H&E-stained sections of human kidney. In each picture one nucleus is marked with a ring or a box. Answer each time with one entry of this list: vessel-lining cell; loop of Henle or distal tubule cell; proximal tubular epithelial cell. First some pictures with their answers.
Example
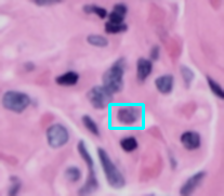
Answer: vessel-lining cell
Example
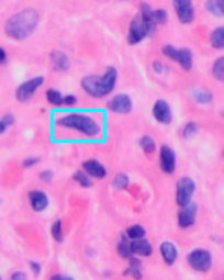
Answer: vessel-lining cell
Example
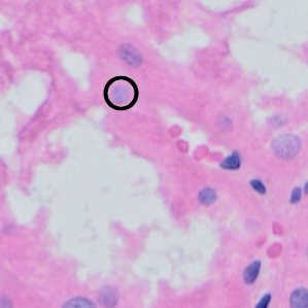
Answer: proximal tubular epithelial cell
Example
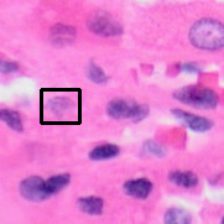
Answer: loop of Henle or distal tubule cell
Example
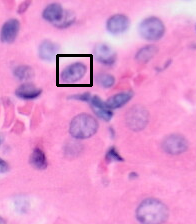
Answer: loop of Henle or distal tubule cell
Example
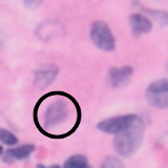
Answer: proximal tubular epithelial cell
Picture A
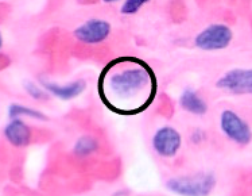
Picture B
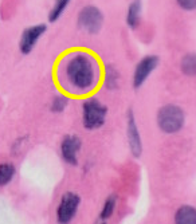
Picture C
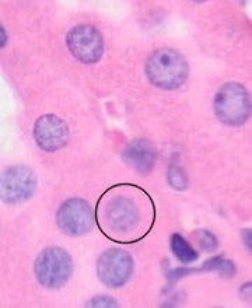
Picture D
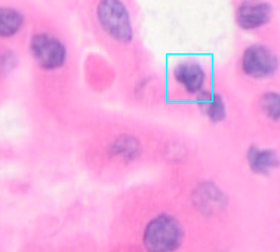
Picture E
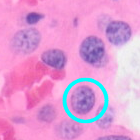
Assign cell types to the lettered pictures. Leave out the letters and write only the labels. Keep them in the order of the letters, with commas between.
vessel-lining cell, loop of Henle or distal tubule cell, loop of Henle or distal tubule cell, loop of Henle or distal tubule cell, loop of Henle or distal tubule cell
